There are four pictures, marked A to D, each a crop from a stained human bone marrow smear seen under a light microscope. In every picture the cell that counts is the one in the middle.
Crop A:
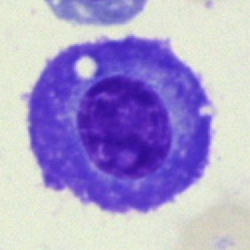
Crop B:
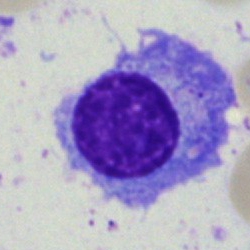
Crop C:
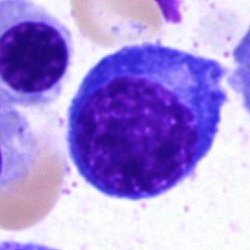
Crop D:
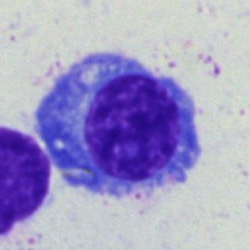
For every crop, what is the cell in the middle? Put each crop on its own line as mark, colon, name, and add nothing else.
A: plasma cell
B: plasma cell
C: normoblast
D: plasma cell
